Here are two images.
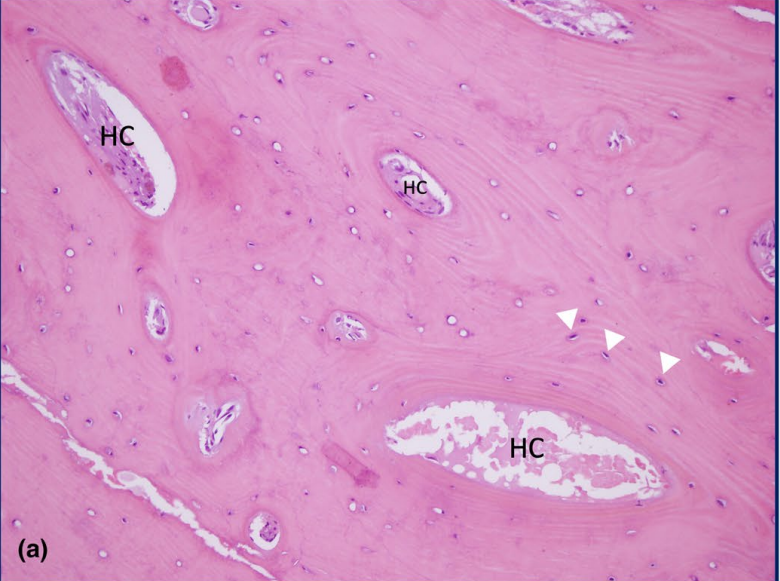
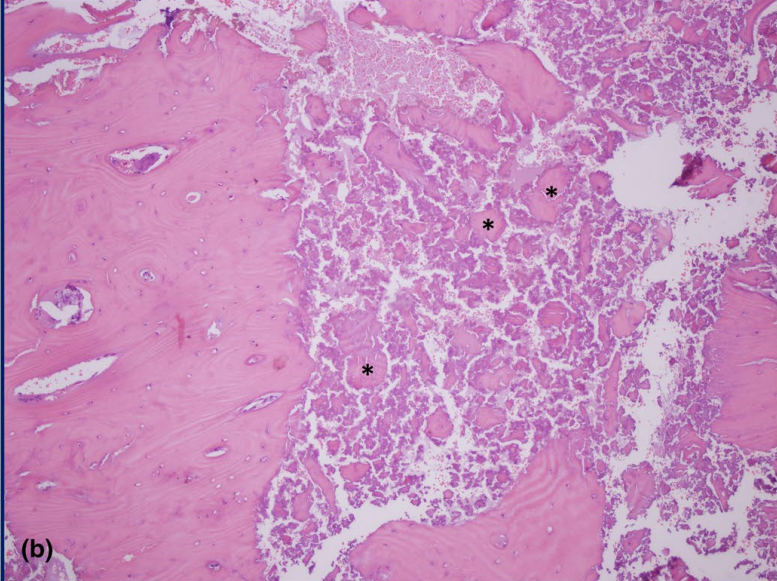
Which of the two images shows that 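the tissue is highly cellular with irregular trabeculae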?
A: the second image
